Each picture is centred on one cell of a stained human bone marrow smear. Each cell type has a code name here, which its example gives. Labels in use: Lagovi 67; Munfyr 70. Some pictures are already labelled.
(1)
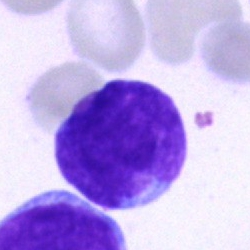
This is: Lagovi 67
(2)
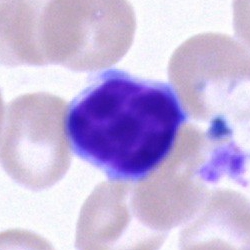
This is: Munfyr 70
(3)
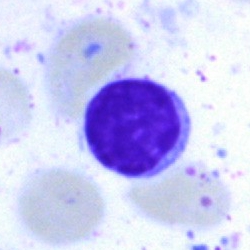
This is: Munfyr 70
